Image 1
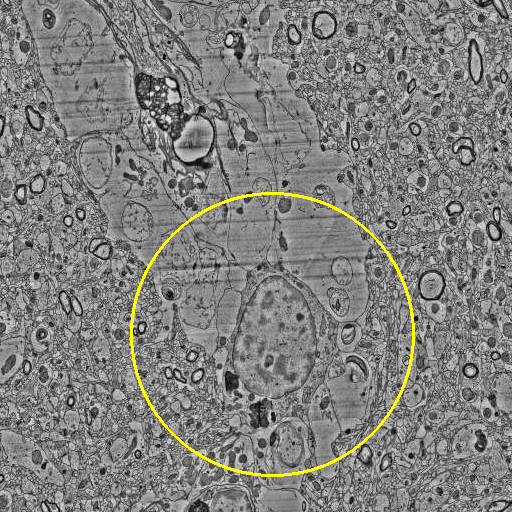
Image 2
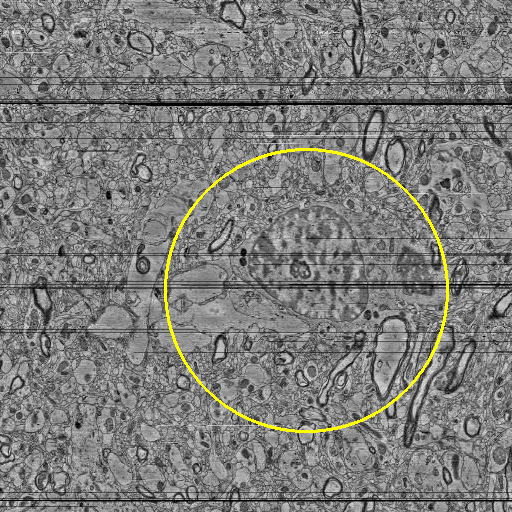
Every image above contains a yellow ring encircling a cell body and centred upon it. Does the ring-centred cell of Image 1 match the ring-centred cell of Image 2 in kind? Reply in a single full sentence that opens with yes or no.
Yes, the cell at the ring's centre in Image 1 is the same kind as that in Image 2.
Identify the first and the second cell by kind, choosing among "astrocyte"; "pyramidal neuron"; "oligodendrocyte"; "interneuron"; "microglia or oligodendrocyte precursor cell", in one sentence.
In each of the two pictures, the ringed cell is an oligodendrocyte.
